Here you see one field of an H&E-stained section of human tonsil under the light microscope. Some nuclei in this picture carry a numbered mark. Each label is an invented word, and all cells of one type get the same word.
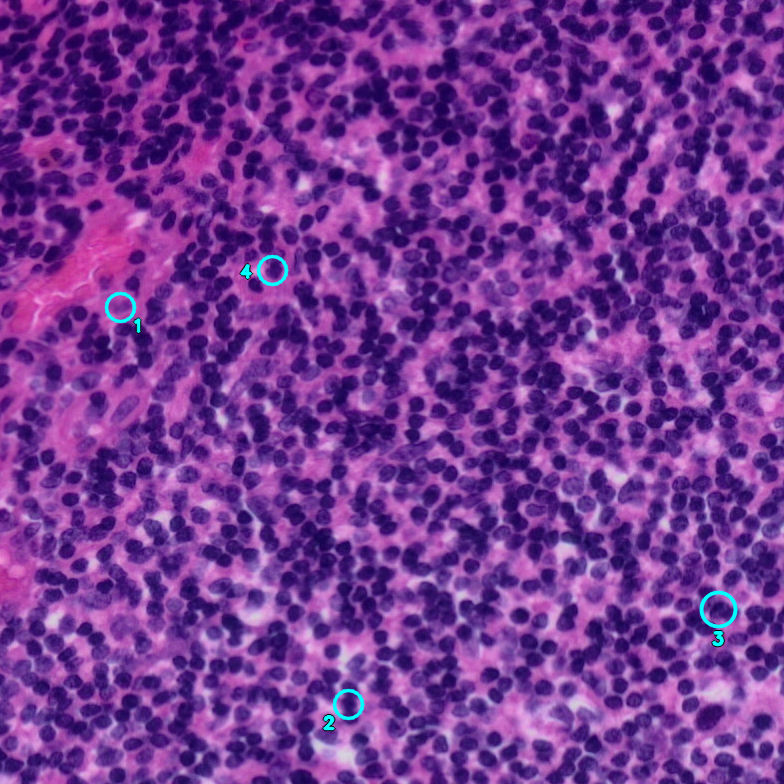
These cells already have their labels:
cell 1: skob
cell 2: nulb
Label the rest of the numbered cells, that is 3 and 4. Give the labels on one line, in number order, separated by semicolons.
nulb; skob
